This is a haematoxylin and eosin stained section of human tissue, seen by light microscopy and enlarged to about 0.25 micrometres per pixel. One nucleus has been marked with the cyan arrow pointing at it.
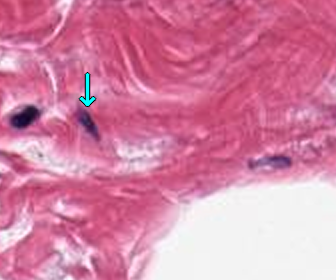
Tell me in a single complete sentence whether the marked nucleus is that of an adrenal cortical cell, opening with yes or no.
No, as for the marked nucleus, it belongs to a supporting cell and not to an adrenal cortical cell.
